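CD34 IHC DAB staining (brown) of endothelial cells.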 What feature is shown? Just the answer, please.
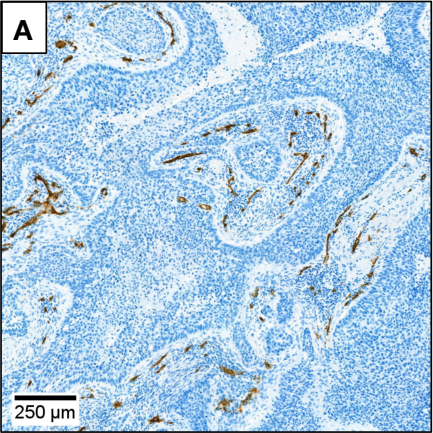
Epithelial nests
